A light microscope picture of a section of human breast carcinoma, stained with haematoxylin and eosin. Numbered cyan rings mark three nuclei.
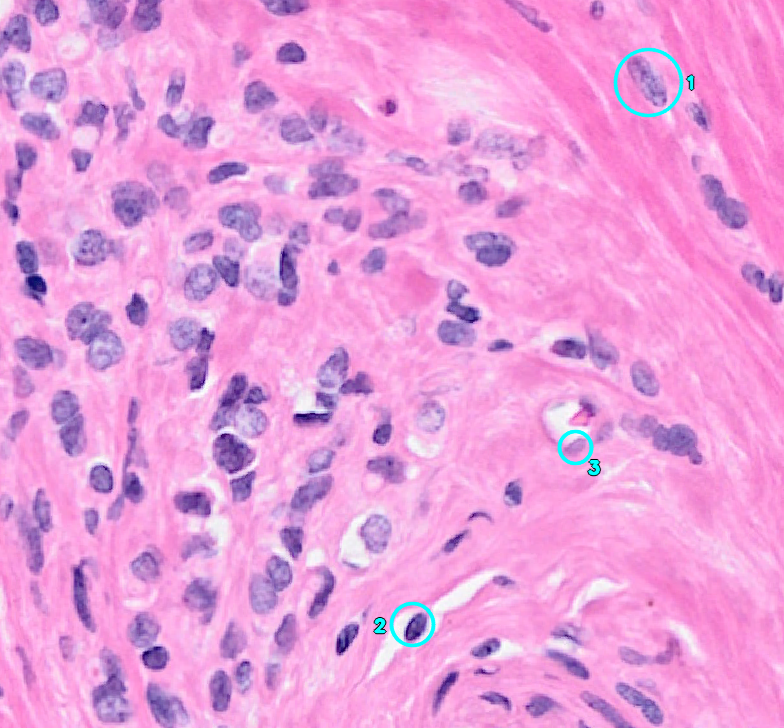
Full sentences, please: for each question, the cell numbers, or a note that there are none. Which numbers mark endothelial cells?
It is cell 3, and no other numbered cell, that is an endothelial cell.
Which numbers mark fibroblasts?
Of those with numbers, only cell 1 is a fibroblast.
